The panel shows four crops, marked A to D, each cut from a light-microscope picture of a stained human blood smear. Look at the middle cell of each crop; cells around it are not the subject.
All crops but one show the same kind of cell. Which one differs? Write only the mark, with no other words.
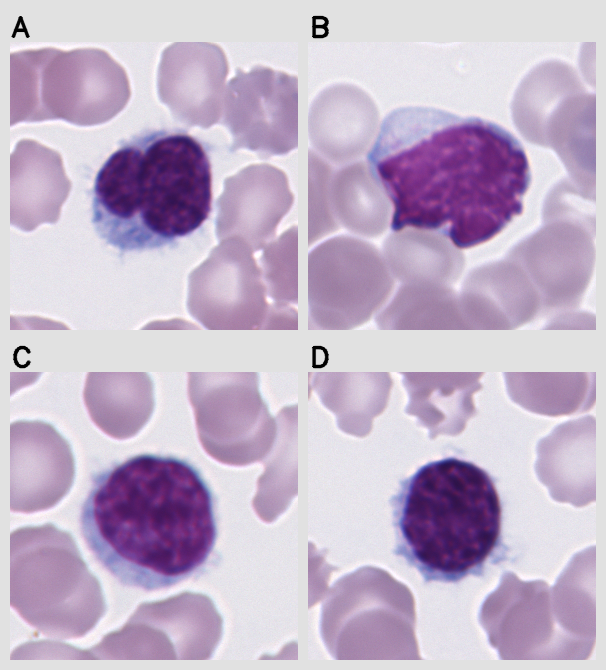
B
